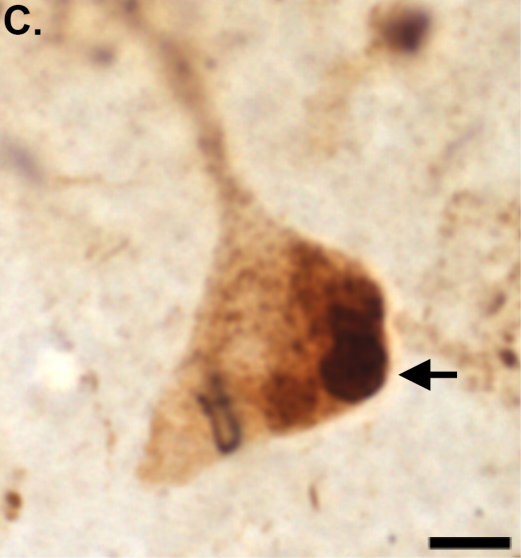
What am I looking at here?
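A single neuron with a triangular cell body is shown, tapering upward into a thick process. Its cytoplasm is filled with fine brown granular staining that is darker toward one side. At the edge of the cell body lies a dense, dark brown, round inclusion. The surrounding tissue is pale with faint scattered fibres.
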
